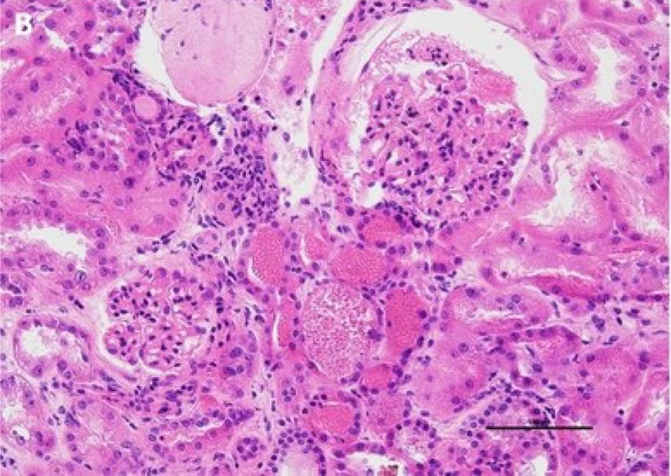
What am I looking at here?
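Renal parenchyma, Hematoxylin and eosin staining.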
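This section of kidney cortex shows tubules lined by pink epithelial cells with round purple nuclei, with two glomeruli among them. In the centre several tubular lumens are filled with densely packed bright red-pink granular material made of small anucleate round cells, which are erythrocyte casts. Between the tubules and around the glomeruli there are clusters of small dark nuclei in the interstitium. The glomeruli appear as rounded tufts of cells surrounded by a clear space within their capsule.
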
